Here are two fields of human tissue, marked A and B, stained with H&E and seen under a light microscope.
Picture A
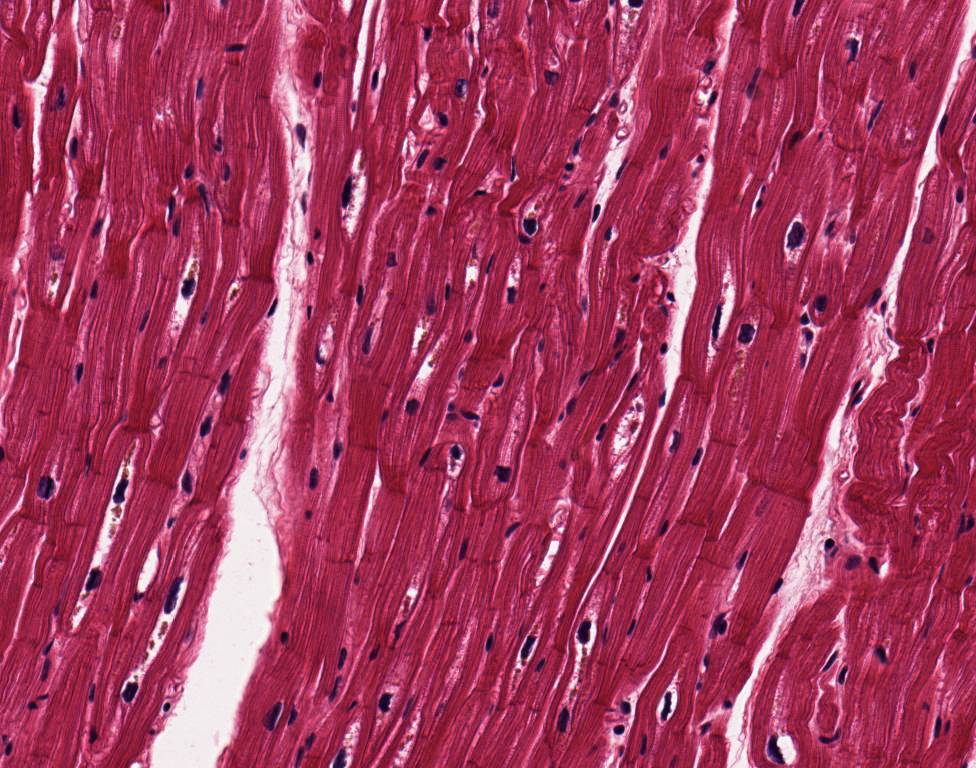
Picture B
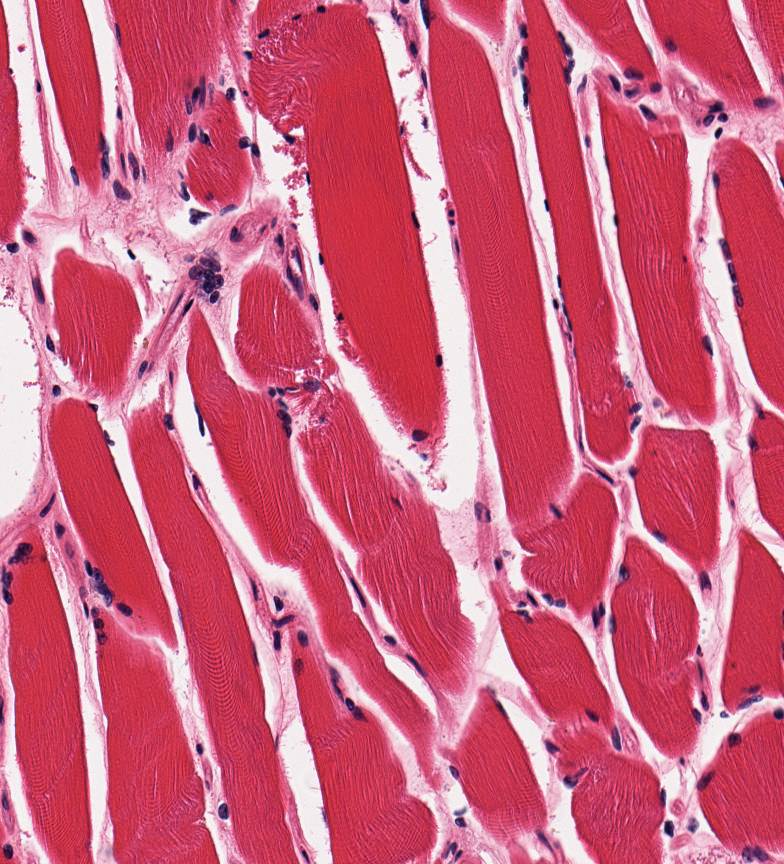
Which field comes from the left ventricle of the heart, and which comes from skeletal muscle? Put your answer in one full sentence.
Picture A comes from the left ventricle of the heart; picture B comes from skeletal muscle.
